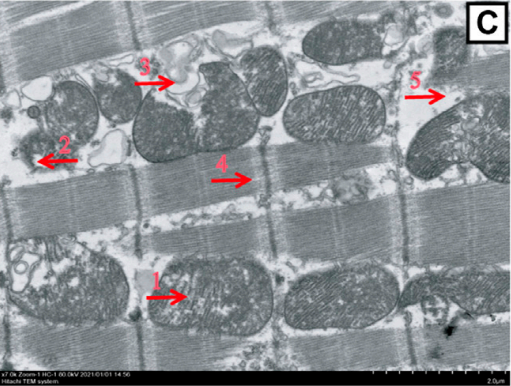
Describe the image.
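This electron micrograph of heart muscle shows chains of oval mitochondria between striated myofibril bands crossed by dark Z-lines. Several mitochondria have dense matrix with tightly packed cristae, while others show pale patches where cristae are shortened or absent. Empty vesicular profiles with thin membranes sit in clear spaces among the mitochondria. The myofibril bands are partly separated by light gaps, and some regions beside the mitochondria appear pale and devoid of filaments.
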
